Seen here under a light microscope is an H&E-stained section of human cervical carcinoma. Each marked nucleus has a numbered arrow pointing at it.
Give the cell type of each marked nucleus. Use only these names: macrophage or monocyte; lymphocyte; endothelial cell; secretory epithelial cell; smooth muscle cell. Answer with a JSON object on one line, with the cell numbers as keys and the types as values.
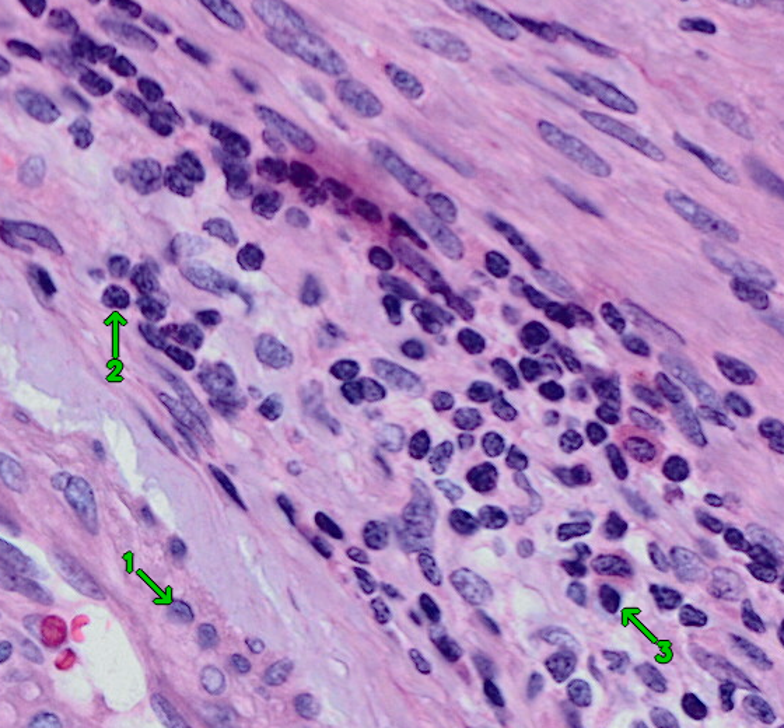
{"1": "smooth muscle cell", "2": "lymphocyte", "3": "lymphocyte"}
